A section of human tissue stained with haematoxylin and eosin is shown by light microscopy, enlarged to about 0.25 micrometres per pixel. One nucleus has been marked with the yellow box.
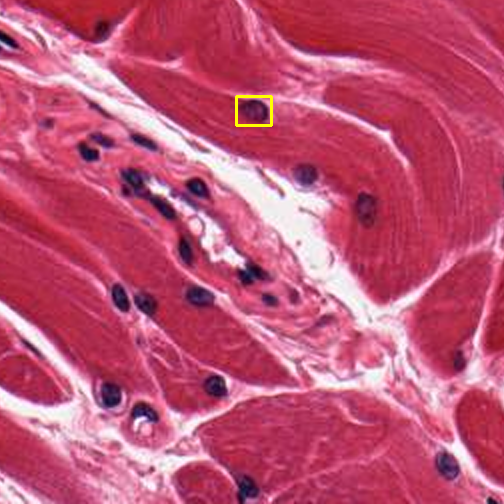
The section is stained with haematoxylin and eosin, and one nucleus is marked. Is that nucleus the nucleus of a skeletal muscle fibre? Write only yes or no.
yes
